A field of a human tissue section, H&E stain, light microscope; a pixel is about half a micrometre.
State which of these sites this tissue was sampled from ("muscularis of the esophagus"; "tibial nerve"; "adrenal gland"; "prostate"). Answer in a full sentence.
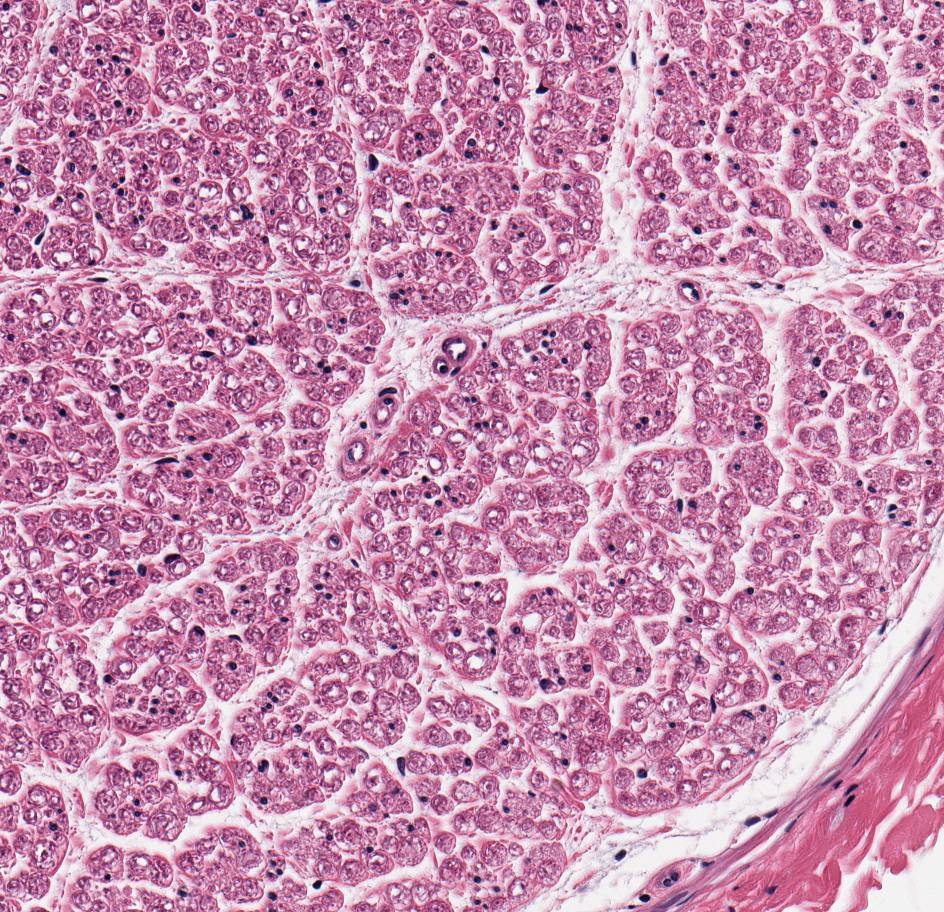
The site this tissue was sampled from is the tibial nerve.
